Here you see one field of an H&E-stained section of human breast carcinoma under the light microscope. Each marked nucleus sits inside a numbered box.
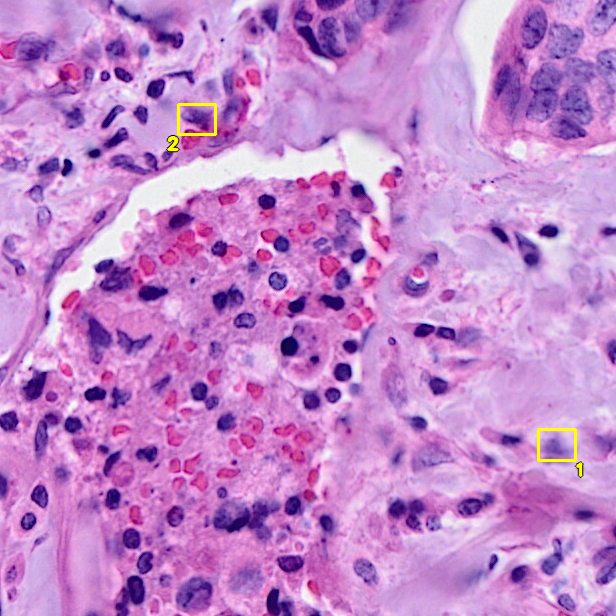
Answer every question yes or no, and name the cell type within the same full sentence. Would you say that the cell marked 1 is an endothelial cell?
No, with respect, cell 1 is a fibroblast rather than an endothelial cell.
